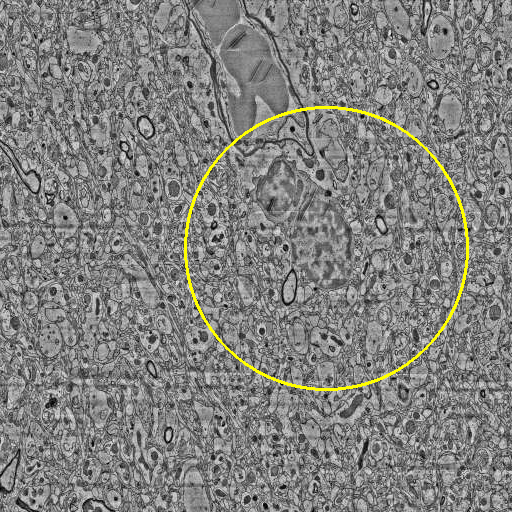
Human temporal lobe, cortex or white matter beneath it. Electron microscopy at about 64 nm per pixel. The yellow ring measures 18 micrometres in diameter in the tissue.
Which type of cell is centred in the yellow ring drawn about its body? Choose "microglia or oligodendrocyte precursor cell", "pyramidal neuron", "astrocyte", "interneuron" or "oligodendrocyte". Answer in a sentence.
The yellow ring surrounds the cell body of an oligodendrocyte.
